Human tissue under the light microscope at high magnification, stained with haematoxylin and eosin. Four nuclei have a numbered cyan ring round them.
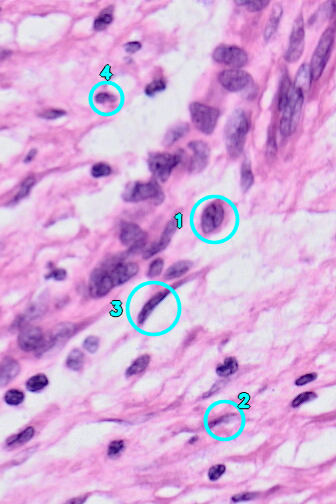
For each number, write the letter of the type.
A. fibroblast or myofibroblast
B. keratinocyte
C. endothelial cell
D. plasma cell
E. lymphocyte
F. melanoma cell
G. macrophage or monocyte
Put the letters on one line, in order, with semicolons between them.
G; A; A; E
